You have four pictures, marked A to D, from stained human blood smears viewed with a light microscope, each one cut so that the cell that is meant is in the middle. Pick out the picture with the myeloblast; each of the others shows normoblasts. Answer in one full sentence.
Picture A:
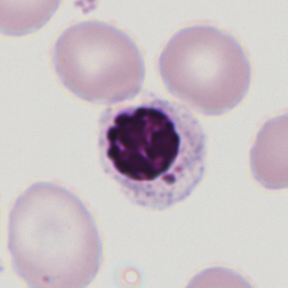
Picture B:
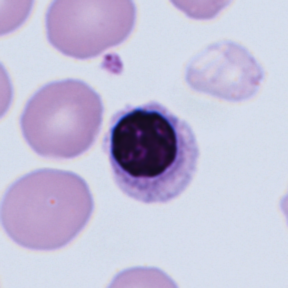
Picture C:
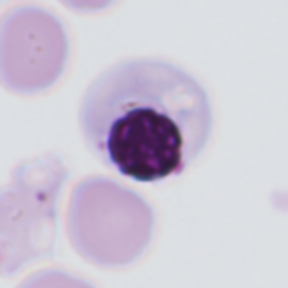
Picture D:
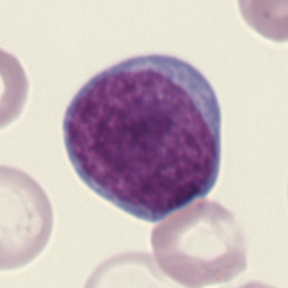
It is picture D that shows the myeloblast.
